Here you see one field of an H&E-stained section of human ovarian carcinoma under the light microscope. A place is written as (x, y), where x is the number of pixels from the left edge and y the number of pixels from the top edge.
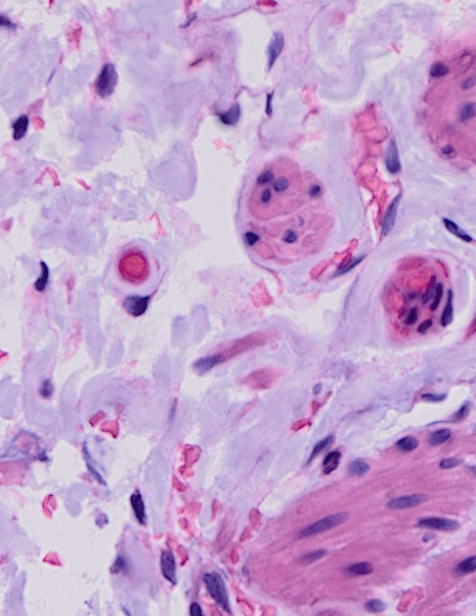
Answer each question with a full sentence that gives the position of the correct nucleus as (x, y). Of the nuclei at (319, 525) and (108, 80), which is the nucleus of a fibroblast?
It is at (108, 80) that the nucleus of a fibroblast is found.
